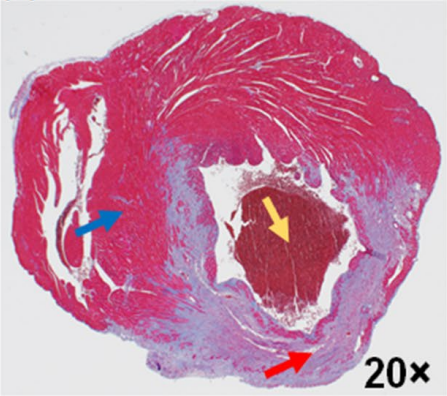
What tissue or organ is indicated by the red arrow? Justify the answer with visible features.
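The red arrow points at the thin wall around the round central cavity. That wall is largely blue.
Answer: left ventricle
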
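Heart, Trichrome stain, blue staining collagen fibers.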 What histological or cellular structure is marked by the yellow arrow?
Early thrombus.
